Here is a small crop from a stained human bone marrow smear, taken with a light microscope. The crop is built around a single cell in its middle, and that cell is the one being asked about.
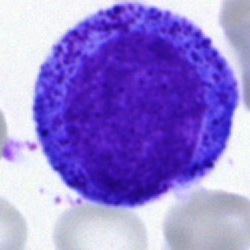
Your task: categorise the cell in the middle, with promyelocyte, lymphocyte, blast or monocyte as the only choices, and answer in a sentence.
Seen at the centre of the crop is a promyelocyte.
